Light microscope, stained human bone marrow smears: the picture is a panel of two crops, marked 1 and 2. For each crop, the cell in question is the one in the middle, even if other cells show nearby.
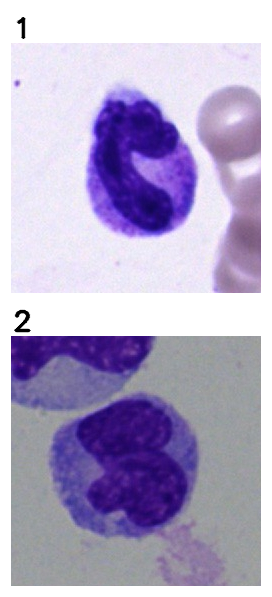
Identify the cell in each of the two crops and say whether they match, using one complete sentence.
No, crop 1 contains a band neutrophil, while crop 2 contains a monocyte.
